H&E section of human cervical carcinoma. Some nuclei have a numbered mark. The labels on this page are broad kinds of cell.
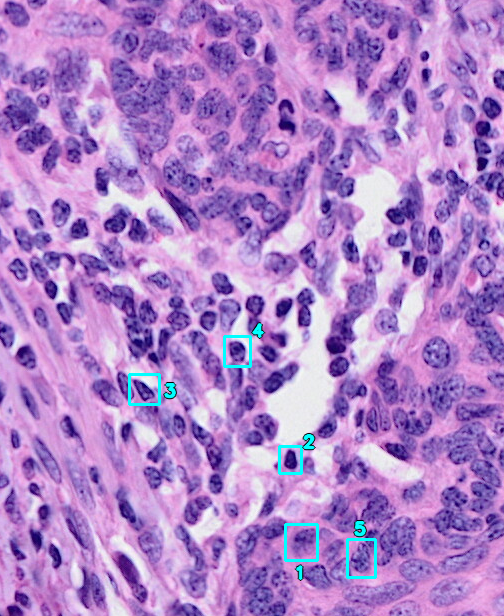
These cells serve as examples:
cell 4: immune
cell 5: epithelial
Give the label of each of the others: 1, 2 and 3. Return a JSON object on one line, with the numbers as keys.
{"1": "epithelial", "2": "immune", "3": "immune"}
